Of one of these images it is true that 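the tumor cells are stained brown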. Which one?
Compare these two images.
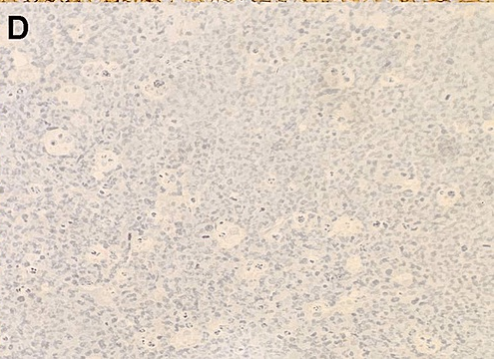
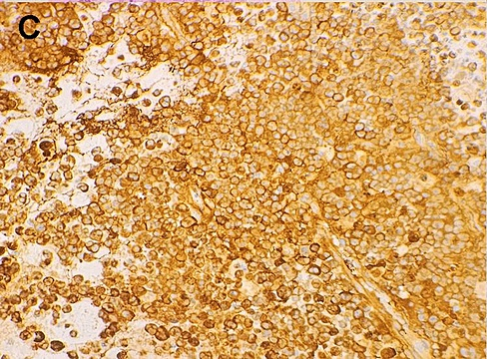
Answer: The second image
